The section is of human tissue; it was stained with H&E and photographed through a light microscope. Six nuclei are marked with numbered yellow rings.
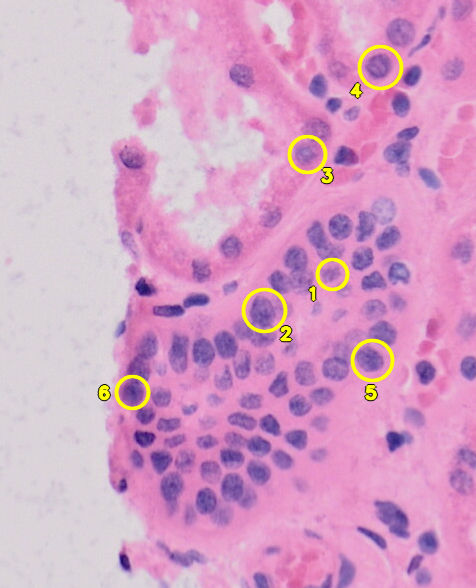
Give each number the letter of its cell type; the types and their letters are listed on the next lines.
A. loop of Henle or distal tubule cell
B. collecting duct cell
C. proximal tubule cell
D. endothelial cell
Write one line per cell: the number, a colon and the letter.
1: B
2: B
3: C
4: C
5: B
6: B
